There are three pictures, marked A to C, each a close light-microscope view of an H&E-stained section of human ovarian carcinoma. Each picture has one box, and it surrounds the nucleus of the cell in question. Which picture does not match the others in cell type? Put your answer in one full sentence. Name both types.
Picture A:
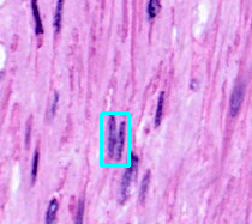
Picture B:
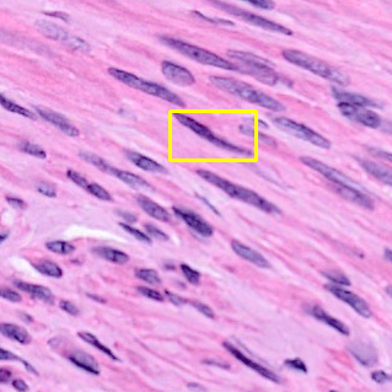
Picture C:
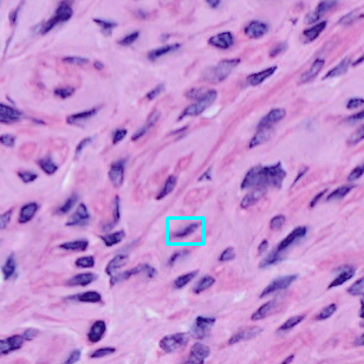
The others show smooth muscle cells, but picture A shows a fibroblast.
